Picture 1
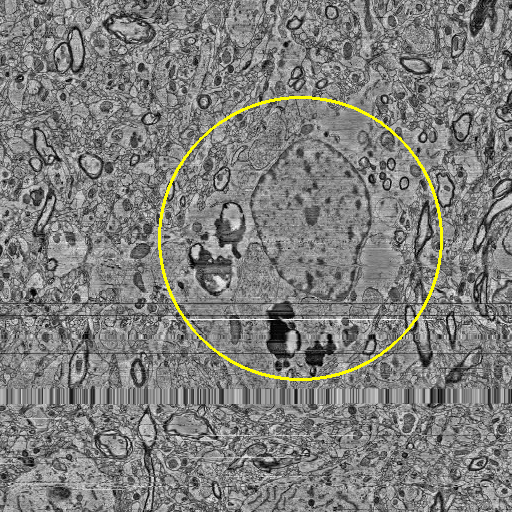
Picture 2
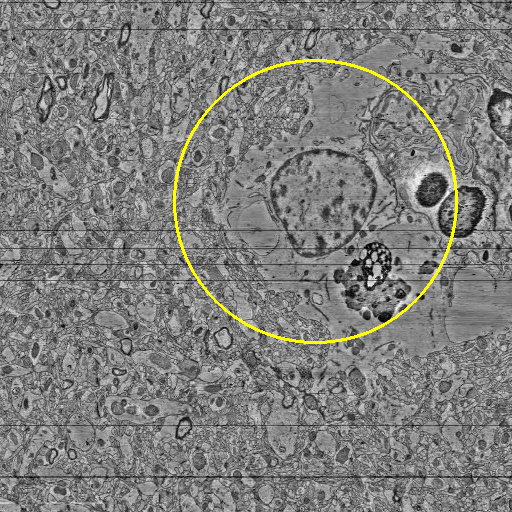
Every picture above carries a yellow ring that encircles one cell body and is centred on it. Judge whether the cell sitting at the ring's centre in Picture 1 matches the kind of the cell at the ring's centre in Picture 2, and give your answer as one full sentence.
Yes, the cells centred in the rings of Pictures 1 and 2 belong to one kind.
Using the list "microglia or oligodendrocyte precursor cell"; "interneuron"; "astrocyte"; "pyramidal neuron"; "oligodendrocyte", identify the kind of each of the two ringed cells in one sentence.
The cell at the ring centre is an astrocyte in both pictures.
